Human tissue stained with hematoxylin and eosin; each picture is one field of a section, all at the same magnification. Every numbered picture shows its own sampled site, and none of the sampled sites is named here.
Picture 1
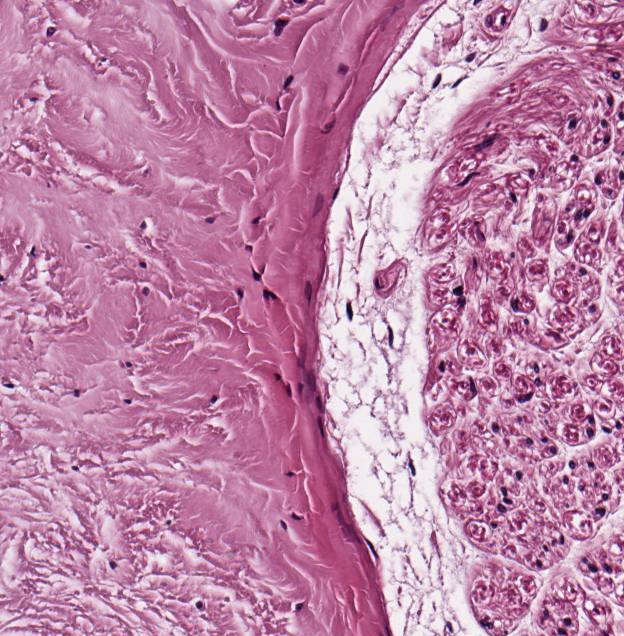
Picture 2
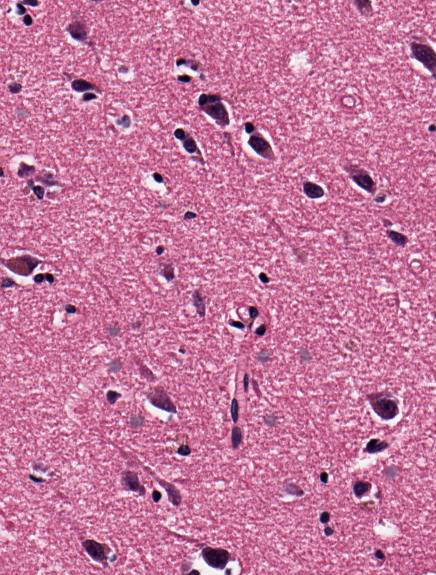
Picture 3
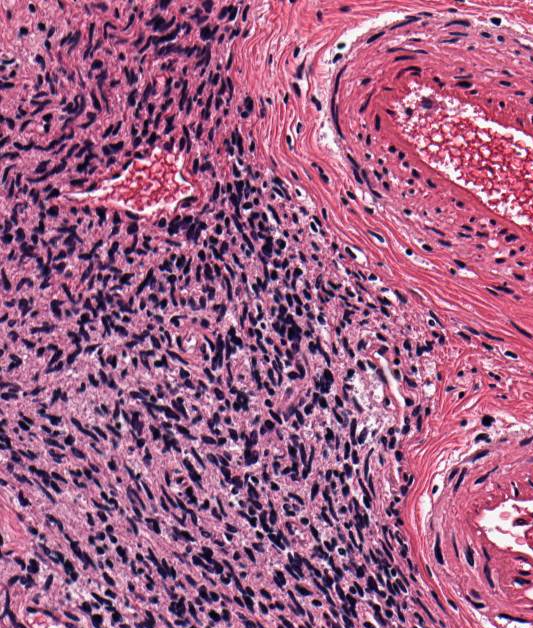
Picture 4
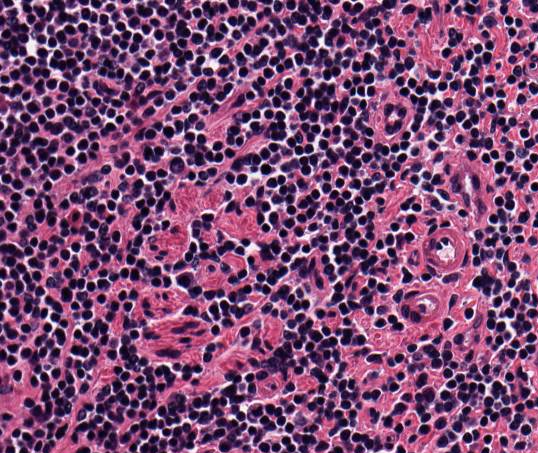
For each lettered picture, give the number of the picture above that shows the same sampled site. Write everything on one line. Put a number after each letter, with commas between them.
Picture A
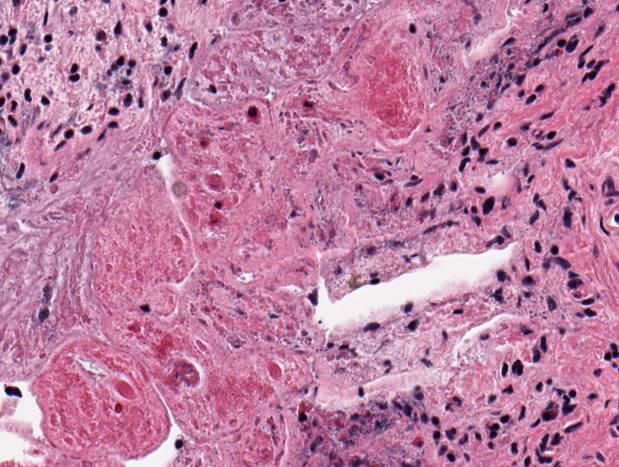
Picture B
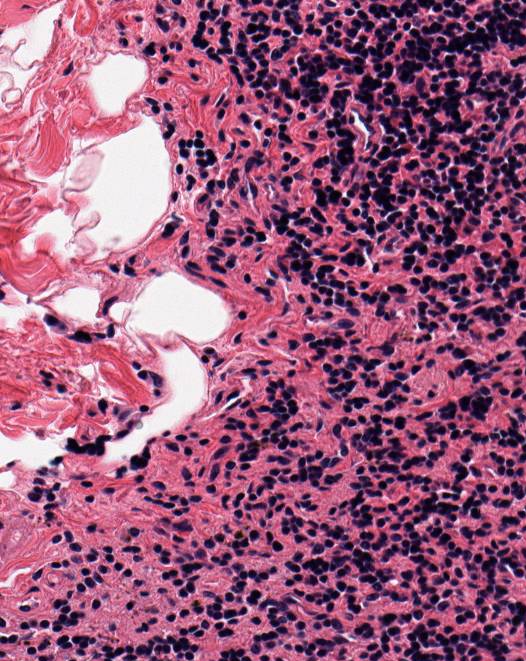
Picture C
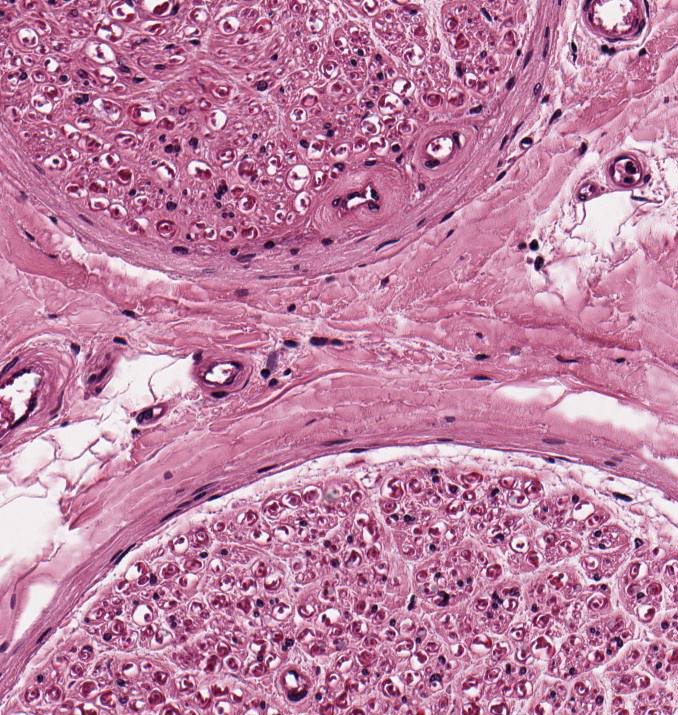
A 4, B 4, C 1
